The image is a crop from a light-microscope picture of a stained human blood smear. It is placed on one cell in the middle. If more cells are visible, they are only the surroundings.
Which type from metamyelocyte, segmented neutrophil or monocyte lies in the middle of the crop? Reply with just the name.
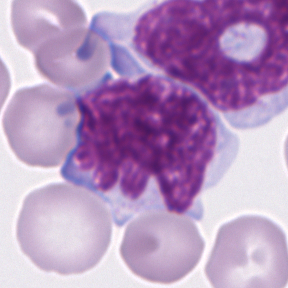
monocyte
